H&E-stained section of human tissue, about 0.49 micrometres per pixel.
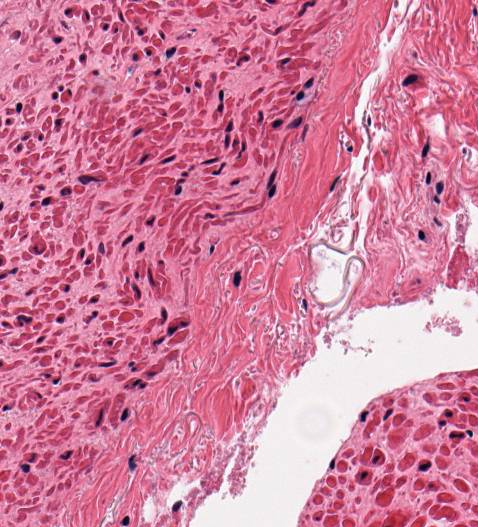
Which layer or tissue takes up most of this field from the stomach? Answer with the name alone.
smooth muscle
